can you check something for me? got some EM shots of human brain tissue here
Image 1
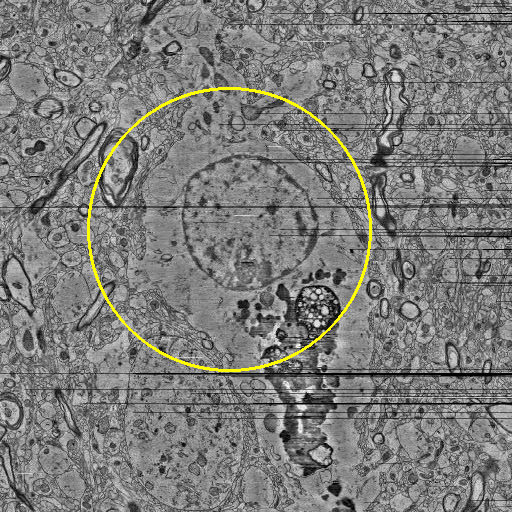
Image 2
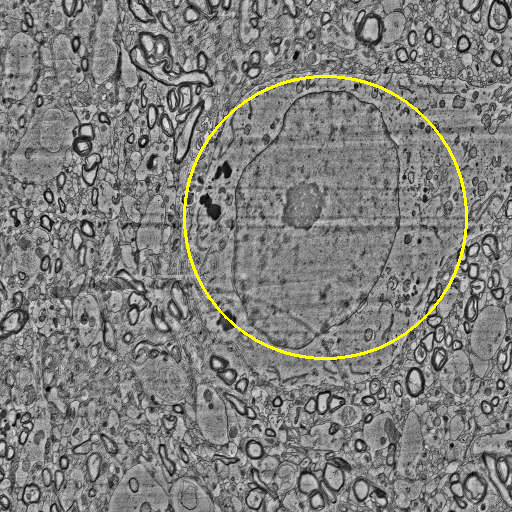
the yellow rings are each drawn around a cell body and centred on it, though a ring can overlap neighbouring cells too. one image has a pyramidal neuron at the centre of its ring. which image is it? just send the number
2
